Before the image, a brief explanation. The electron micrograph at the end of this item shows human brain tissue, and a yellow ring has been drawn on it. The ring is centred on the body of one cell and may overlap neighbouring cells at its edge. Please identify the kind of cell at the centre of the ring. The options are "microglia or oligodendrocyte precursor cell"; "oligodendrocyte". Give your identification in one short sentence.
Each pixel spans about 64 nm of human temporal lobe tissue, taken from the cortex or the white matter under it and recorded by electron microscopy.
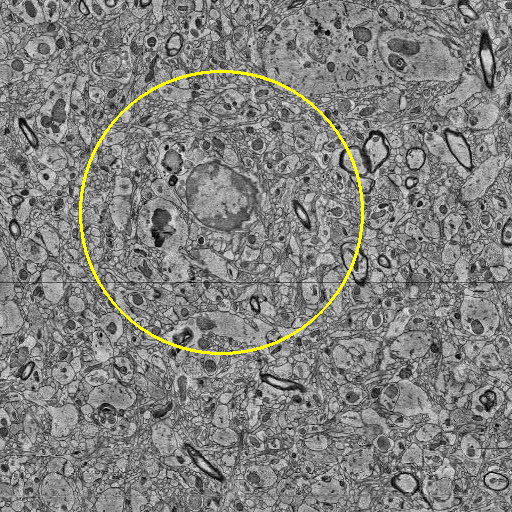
The ring has been placed around a microglial cell or oligodendrocyte precursor cell.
